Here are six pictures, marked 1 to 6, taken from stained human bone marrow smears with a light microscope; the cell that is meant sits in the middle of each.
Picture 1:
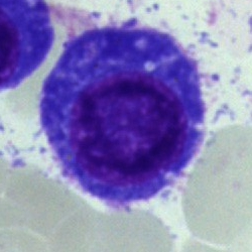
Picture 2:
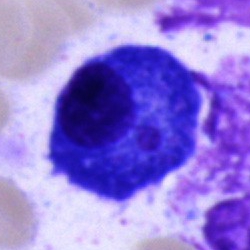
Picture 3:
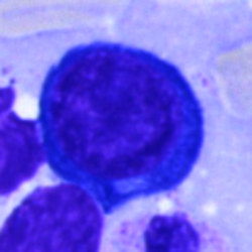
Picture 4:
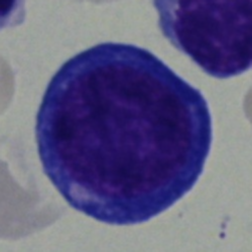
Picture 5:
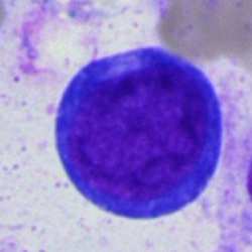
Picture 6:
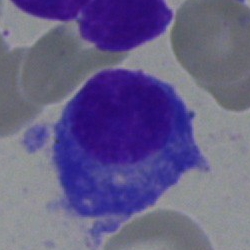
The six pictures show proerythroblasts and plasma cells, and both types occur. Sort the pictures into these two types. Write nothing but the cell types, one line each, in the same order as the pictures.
plasma cell
plasma cell
proerythroblast
proerythroblast
proerythroblast
plasma cell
